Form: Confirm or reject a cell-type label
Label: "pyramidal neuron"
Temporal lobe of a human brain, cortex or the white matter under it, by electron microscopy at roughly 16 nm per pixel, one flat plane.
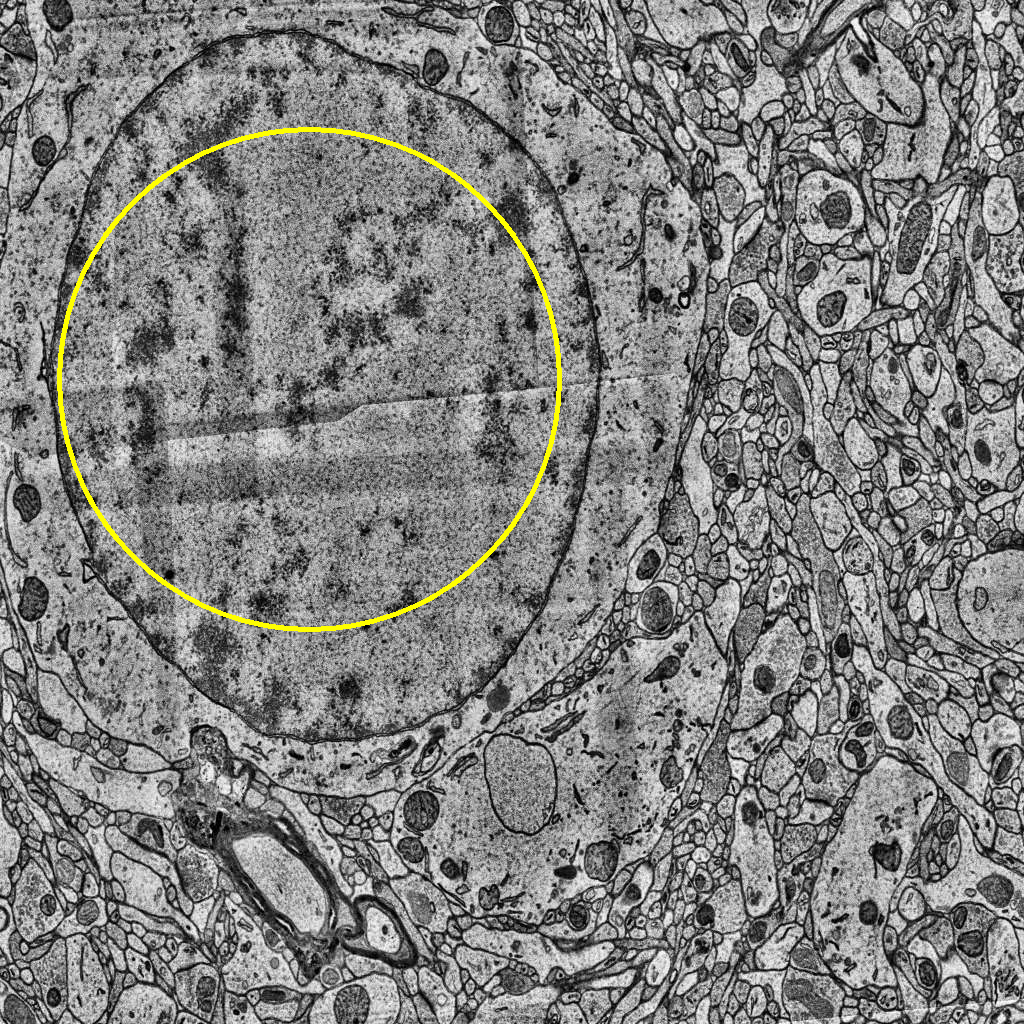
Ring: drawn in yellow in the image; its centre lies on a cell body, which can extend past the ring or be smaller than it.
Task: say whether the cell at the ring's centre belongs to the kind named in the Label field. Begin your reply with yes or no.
Yes, it belongs to that kind.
